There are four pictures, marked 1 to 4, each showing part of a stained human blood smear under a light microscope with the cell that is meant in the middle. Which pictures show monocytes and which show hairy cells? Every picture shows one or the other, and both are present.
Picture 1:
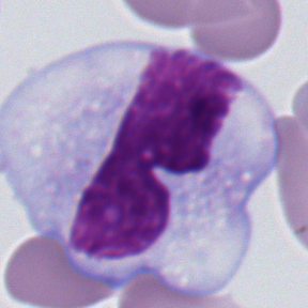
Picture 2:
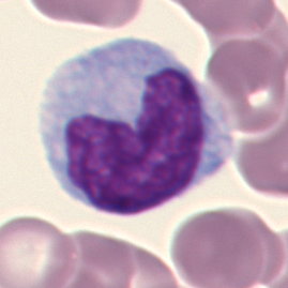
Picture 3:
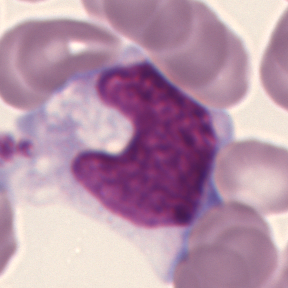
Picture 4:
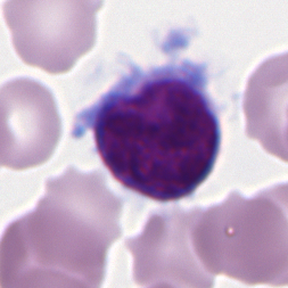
1: monocyte
2: monocyte
3: monocyte
4: hairy cell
